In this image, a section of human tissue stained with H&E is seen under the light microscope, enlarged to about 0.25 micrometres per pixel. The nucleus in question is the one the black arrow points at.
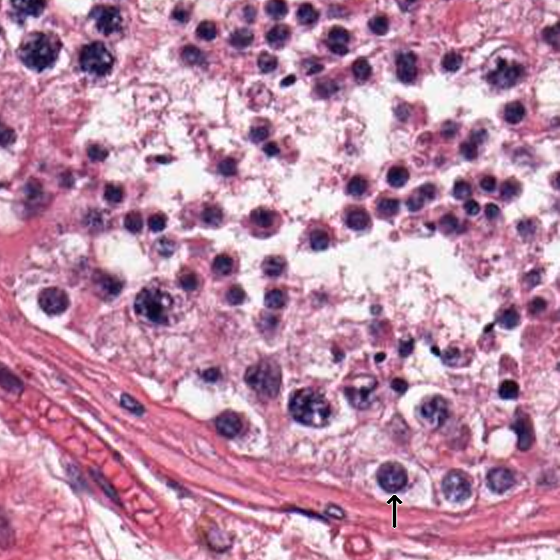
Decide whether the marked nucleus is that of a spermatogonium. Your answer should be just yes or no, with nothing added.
yes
